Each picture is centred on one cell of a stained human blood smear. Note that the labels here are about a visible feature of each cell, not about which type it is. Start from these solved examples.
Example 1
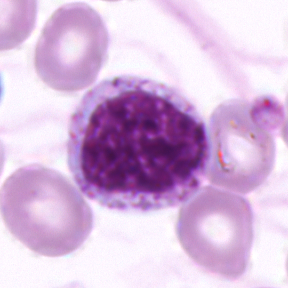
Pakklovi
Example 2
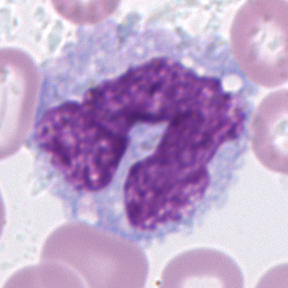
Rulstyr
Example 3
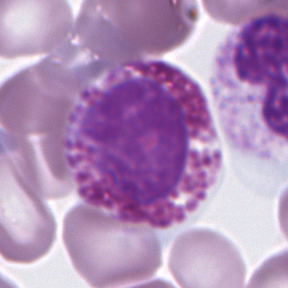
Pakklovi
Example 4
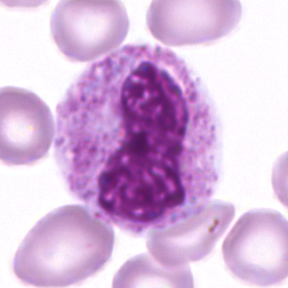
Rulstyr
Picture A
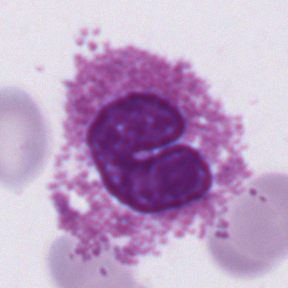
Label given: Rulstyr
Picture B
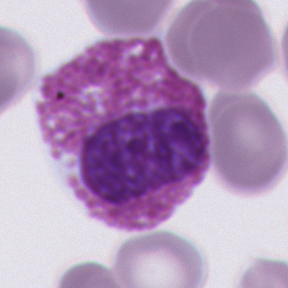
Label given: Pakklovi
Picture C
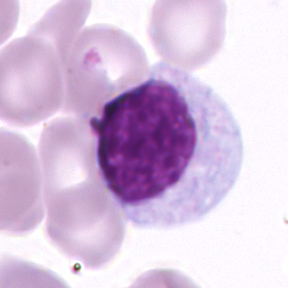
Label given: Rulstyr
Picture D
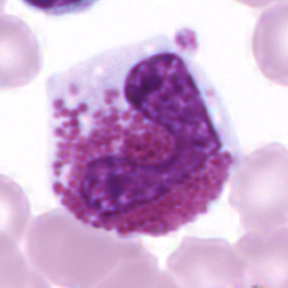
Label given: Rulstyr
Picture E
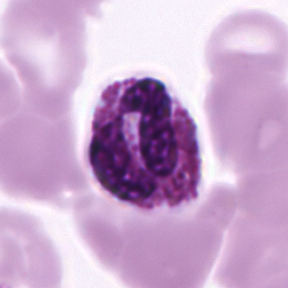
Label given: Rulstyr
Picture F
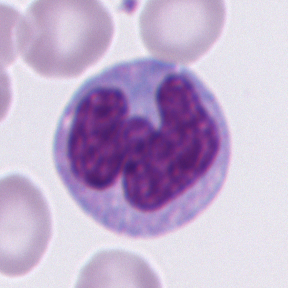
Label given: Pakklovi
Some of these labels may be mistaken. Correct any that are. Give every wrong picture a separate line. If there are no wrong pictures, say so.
C is labelled Rulstyr; correct label: Pakklovi
F is labelled Pakklovi; correct label: Rulstyr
